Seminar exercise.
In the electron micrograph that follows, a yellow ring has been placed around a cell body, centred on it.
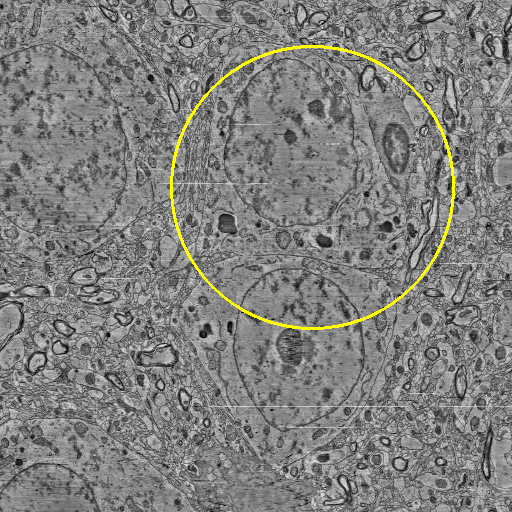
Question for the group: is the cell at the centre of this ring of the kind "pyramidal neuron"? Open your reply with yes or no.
Yes, the cell in the ring's centre is of that kind.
